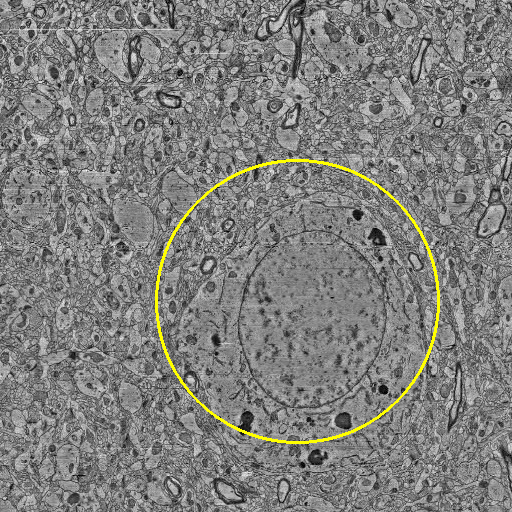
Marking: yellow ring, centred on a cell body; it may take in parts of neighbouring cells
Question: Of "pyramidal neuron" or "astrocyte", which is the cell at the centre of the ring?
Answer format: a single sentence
The ring surrounds the body of a pyramidal neuron.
